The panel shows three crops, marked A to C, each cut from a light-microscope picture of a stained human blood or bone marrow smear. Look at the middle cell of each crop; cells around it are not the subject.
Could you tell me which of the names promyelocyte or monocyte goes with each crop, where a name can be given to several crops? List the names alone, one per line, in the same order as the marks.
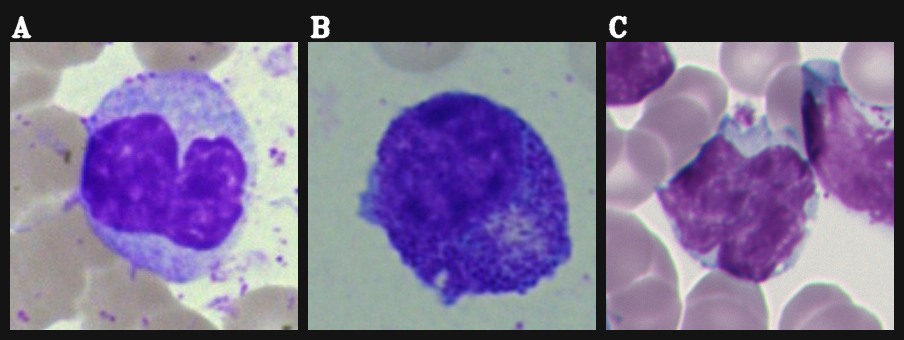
monocyte
promyelocyte
monocyte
